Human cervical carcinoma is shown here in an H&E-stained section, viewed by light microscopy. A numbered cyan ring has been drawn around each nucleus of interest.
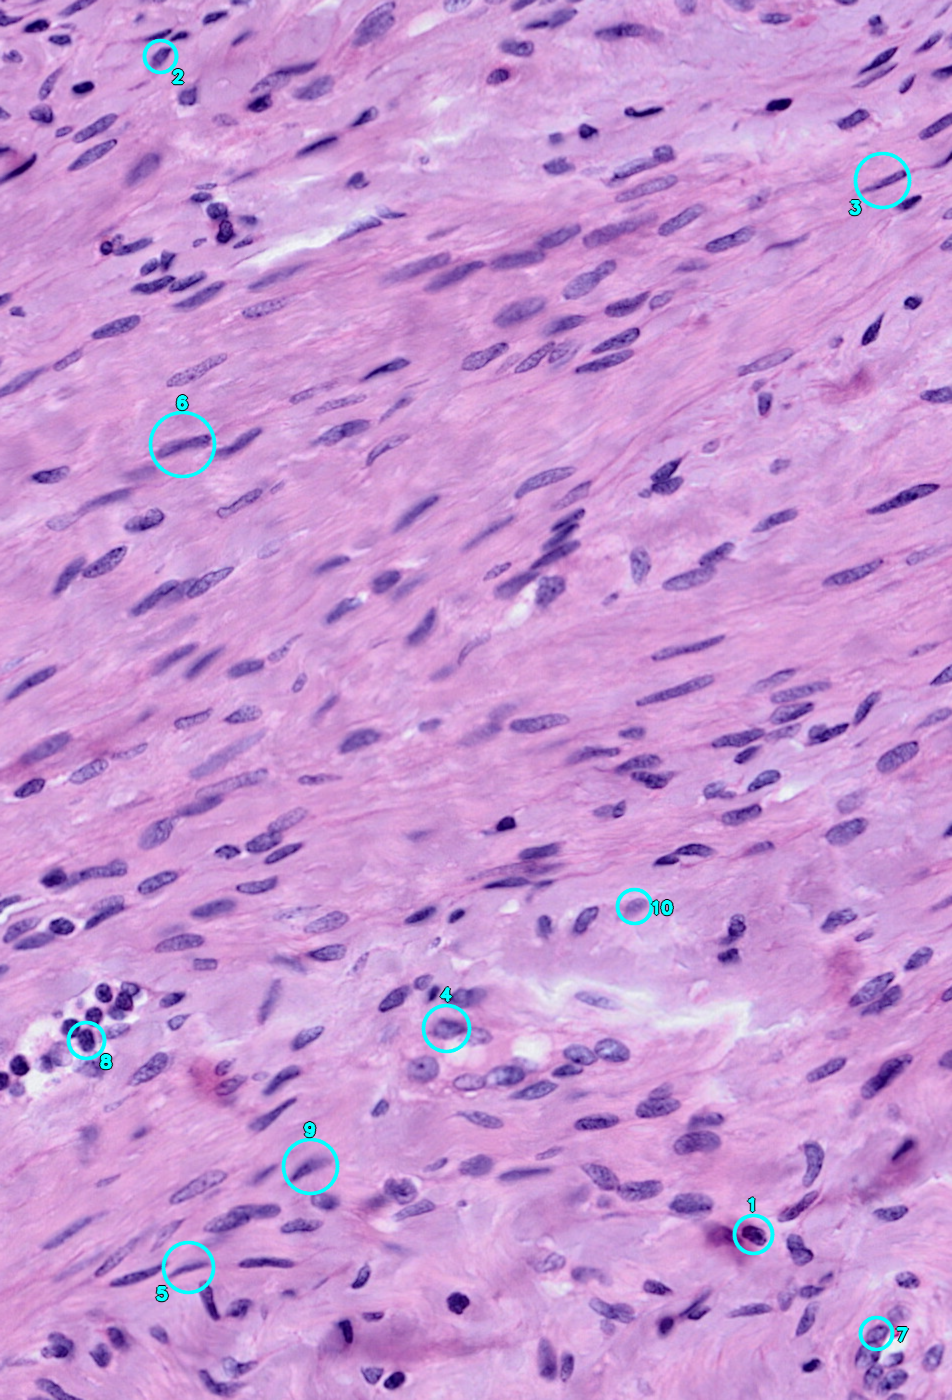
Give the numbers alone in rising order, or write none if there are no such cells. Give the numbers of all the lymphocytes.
1, 8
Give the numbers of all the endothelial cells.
4, 7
